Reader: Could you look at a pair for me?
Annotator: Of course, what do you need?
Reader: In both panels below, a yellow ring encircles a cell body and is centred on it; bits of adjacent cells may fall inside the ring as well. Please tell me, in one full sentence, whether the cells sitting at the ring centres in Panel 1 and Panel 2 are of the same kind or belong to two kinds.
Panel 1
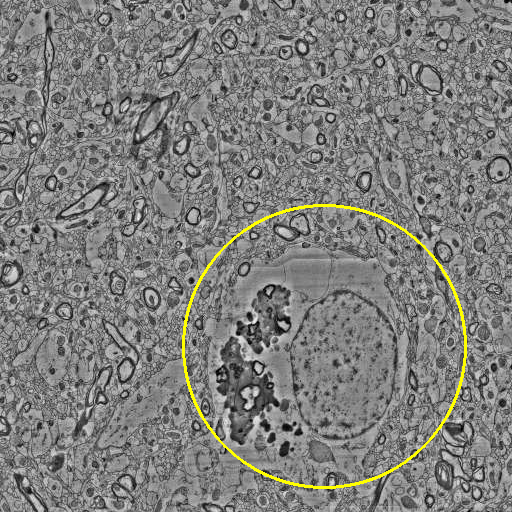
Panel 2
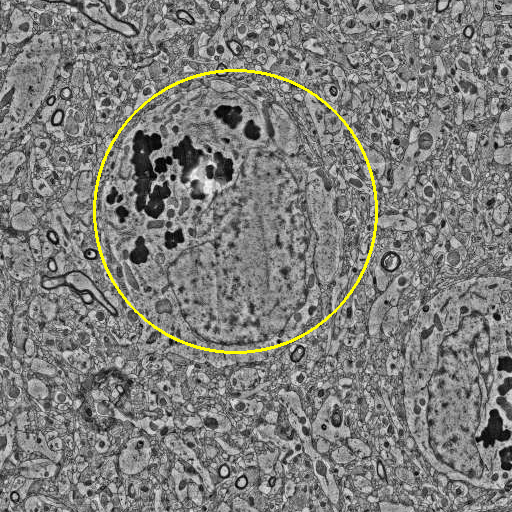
The cell at the ring's centre in Panel 1 and the one in Panel 2 belong to two kinds.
